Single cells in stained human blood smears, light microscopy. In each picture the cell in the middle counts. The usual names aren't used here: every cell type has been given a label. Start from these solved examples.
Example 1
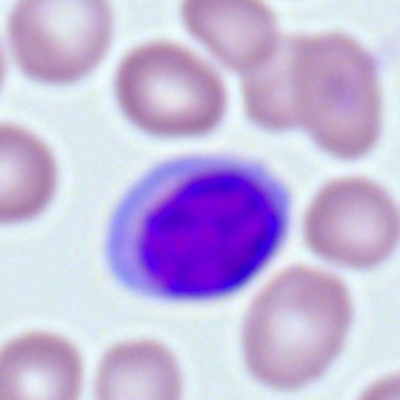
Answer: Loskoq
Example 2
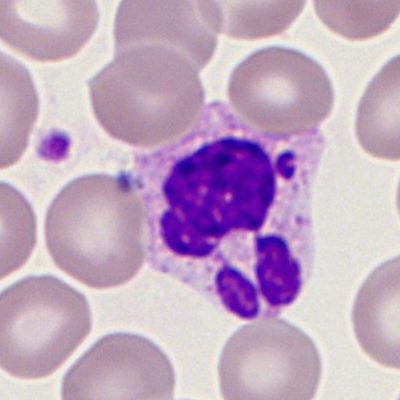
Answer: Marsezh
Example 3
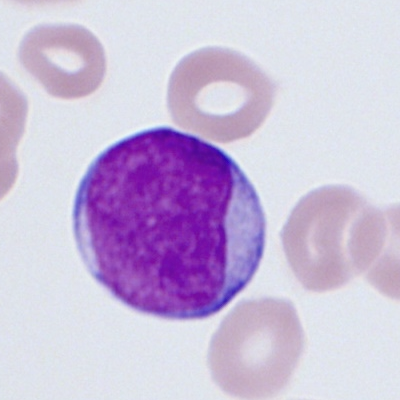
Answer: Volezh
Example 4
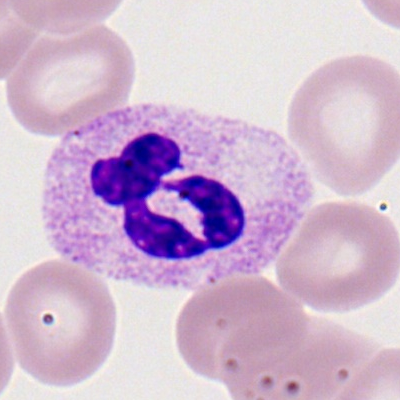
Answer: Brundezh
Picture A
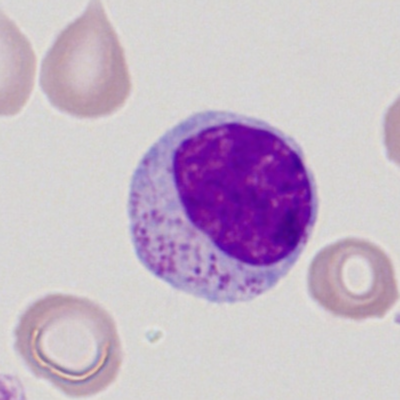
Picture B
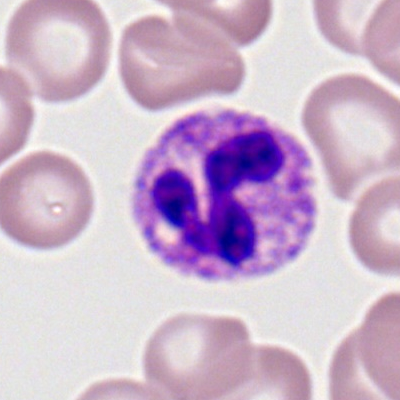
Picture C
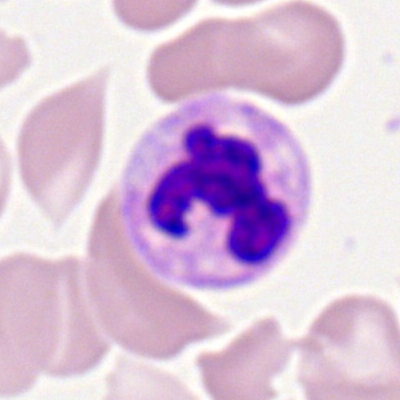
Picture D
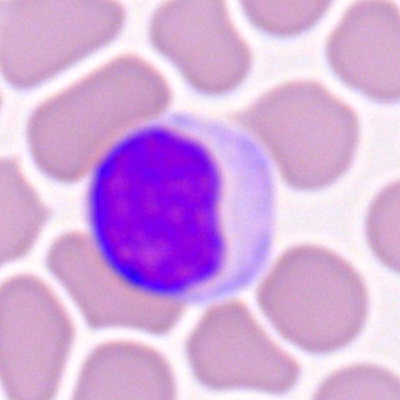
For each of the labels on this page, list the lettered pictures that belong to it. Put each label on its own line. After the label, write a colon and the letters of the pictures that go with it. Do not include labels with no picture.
Loskoq: A, D
Brundezh: B, C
